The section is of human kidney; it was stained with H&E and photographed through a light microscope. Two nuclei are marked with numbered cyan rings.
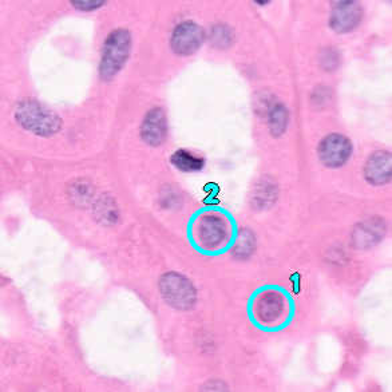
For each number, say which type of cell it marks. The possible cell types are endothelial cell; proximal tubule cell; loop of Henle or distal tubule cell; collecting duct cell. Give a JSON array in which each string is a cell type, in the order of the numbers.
["proximal tubule cell", "loop of Henle or distal tubule cell"]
